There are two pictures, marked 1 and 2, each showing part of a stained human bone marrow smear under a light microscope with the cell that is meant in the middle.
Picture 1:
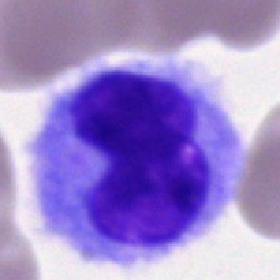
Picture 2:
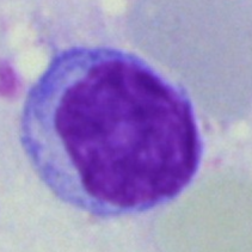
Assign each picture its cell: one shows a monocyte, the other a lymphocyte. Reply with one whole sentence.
Picture 1 shows a monocyte and picture 2 shows a lymphocyte.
